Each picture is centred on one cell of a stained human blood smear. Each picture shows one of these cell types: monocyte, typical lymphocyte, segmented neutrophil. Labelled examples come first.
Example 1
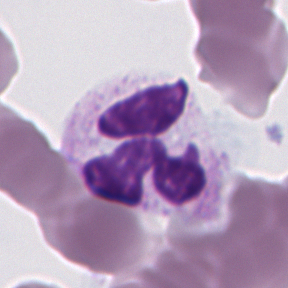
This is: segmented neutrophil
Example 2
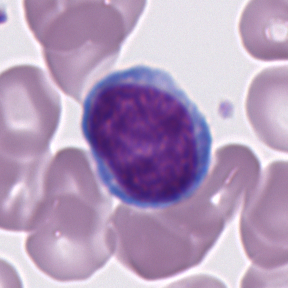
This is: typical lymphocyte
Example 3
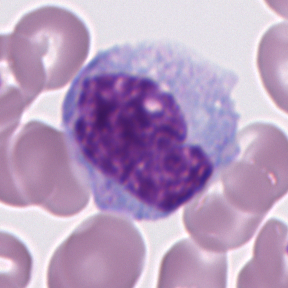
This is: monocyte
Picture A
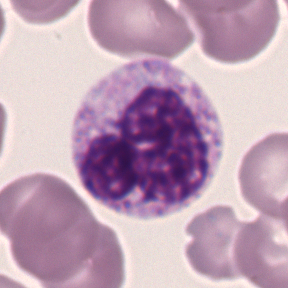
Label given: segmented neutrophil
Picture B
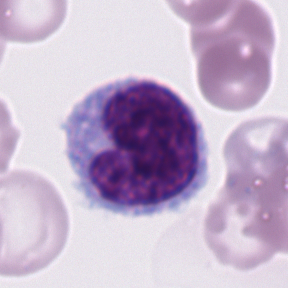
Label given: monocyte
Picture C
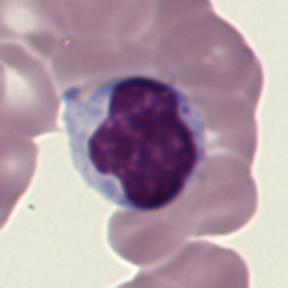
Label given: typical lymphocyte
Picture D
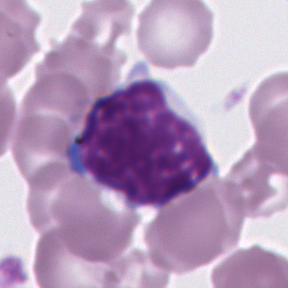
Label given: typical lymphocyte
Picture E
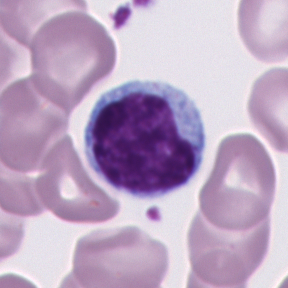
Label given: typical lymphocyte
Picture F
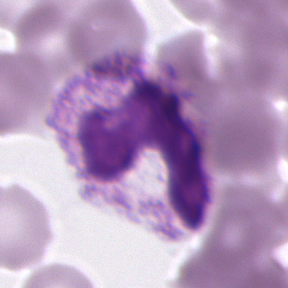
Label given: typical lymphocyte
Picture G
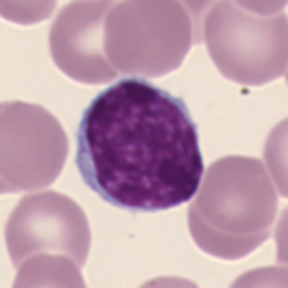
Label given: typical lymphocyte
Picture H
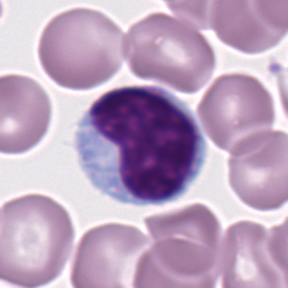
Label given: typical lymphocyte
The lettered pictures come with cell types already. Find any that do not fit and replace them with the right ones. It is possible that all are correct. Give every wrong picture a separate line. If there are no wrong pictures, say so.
F: change typical lymphocyte to segmented neutrophil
